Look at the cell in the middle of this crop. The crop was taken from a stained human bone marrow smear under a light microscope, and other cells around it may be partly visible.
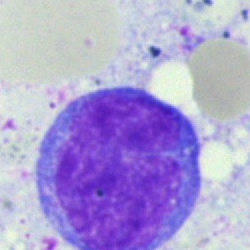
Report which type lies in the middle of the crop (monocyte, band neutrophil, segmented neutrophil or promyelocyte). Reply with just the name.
monocyte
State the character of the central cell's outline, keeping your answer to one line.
If you check the edge, you will find it smooth without projections.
